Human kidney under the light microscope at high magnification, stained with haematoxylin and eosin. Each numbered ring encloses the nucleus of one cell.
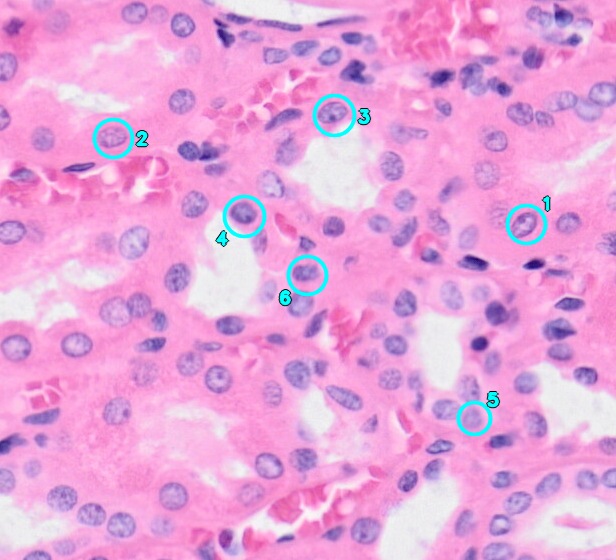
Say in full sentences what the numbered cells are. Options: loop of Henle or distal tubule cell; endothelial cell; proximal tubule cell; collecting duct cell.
Cells 1 and 2 are proximal tubule cells. Cells 3, 4 and 6 are loop of Henle or distal tubule cells. Cell 5 is a collecting duct cell.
